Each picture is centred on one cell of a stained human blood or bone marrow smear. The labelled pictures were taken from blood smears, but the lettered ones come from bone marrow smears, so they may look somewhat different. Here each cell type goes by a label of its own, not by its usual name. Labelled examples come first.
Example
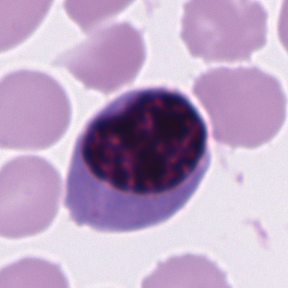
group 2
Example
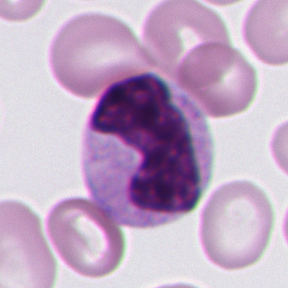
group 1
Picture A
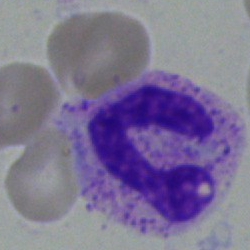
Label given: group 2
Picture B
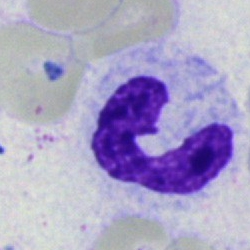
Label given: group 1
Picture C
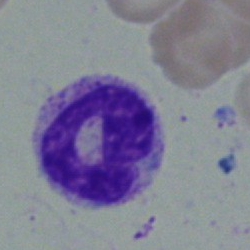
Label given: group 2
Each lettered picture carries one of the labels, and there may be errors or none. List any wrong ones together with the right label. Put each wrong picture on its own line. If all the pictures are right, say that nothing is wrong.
A is labelled group 2; correct label: group 1
C is labelled group 2; correct label: group 1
